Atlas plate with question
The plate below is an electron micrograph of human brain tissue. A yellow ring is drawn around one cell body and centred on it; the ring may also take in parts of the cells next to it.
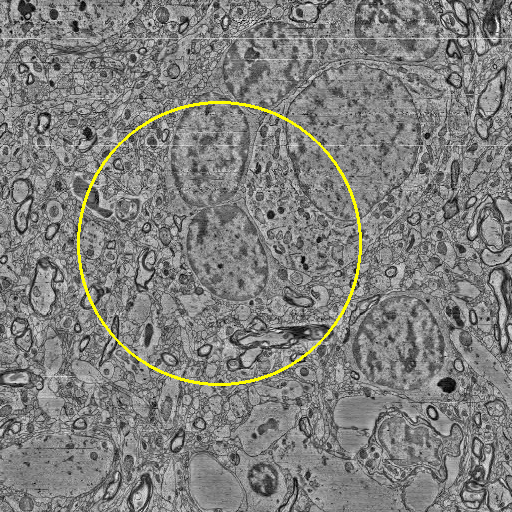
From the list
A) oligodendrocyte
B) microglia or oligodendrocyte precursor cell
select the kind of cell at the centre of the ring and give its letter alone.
A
